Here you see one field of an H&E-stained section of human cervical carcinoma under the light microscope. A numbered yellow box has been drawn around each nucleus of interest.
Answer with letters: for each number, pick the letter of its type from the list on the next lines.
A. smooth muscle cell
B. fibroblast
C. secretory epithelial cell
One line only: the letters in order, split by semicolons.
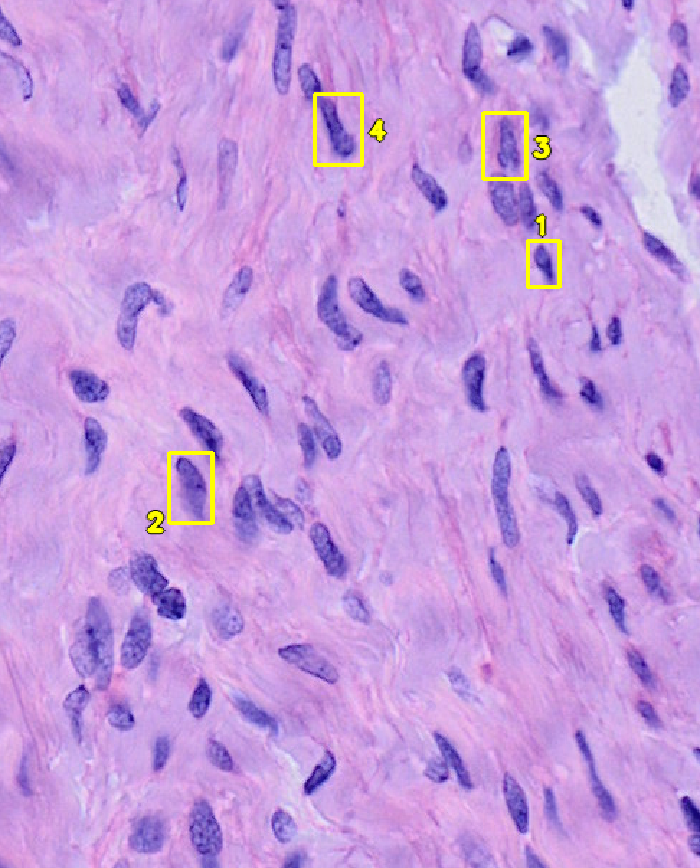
B; B; A; B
